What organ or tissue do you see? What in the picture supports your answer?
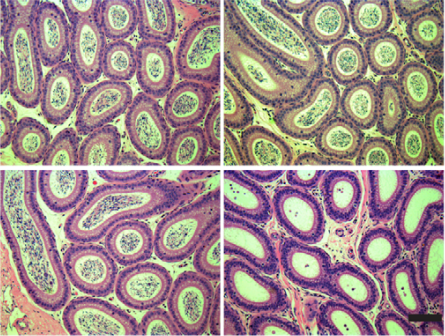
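Epididymis. Many cross-sections of coiled ducts are packed together. Most lumens are filled with masses of sperm.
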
